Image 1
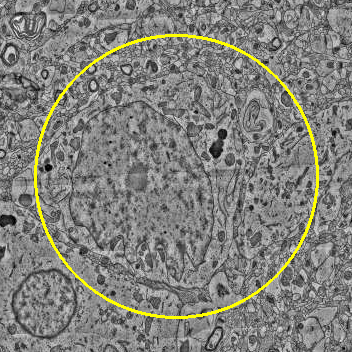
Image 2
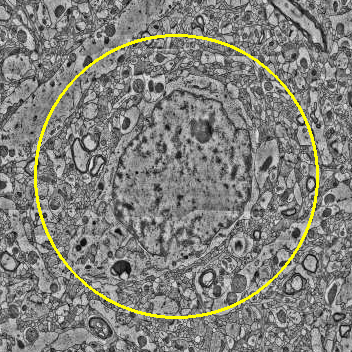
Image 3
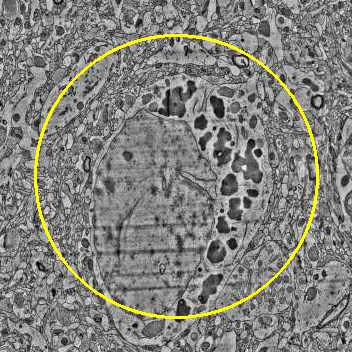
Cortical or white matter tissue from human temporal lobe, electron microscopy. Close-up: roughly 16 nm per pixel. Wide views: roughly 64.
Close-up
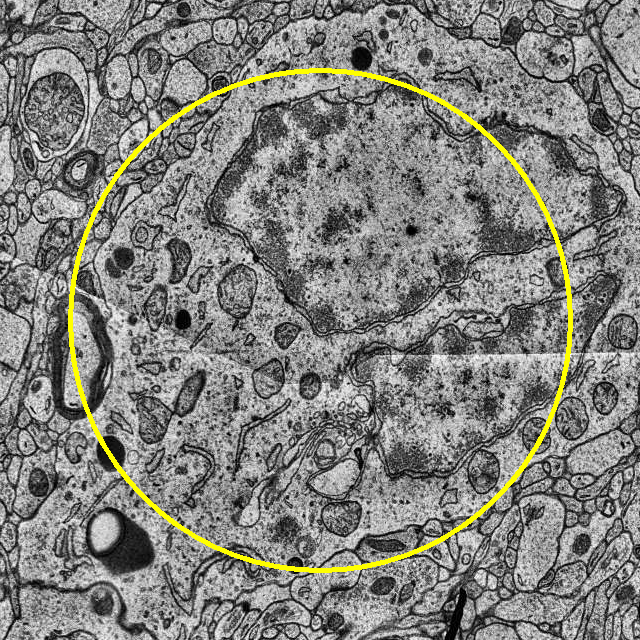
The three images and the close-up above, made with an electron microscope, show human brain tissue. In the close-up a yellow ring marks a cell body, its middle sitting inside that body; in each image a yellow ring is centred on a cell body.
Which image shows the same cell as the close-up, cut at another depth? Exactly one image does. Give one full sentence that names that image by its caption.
The ringed cell whose close-up is shown lies in Image 2.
